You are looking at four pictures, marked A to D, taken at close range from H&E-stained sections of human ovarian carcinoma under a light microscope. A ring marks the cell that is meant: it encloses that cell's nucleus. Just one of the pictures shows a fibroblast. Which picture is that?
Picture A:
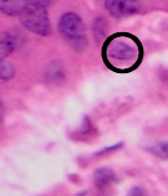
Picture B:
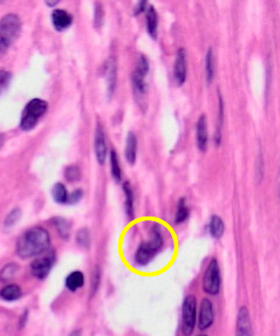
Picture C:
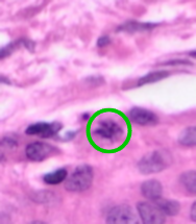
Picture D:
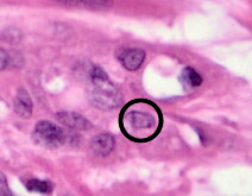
B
